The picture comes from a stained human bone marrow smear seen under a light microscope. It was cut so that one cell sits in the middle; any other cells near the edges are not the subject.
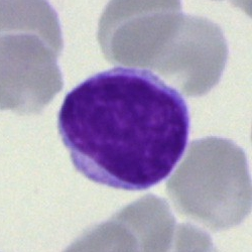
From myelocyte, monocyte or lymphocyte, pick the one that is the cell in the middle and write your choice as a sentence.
The cell centred in this crop is categorized as a lymphocyte.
